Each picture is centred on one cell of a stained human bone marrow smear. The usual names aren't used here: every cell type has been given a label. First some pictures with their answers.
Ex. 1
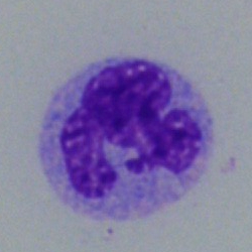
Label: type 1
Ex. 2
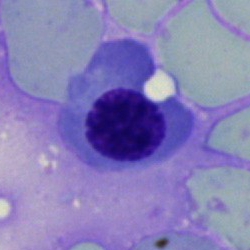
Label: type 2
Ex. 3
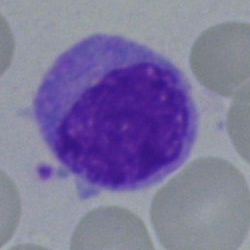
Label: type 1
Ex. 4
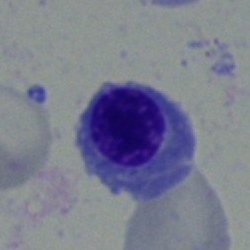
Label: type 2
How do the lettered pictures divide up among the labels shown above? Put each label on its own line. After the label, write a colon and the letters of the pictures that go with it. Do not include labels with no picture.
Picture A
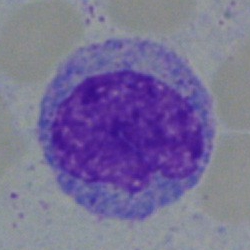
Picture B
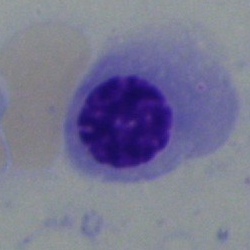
type 1: A
type 2: B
